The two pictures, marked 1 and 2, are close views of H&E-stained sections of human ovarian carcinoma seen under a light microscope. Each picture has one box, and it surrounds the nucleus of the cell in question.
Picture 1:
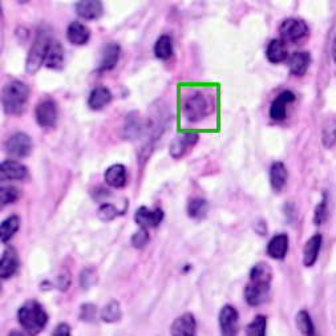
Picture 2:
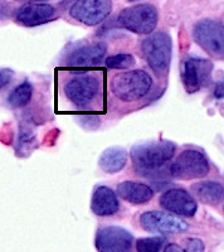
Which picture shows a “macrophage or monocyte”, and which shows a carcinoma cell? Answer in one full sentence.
Picture 1 is of a “macrophage or monocyte”, and picture 2 is of a carcinoma cell.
